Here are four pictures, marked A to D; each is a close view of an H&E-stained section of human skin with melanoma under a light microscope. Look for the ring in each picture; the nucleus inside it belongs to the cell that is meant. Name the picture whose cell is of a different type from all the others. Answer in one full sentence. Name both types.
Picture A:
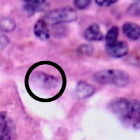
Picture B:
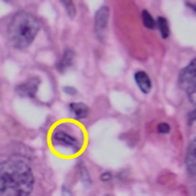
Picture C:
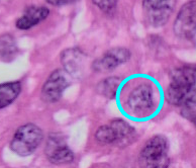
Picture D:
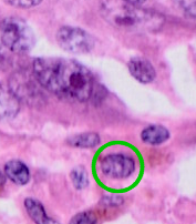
All pictures except C show “macrophages or monocytes”; picture C shows a melanoma cell.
